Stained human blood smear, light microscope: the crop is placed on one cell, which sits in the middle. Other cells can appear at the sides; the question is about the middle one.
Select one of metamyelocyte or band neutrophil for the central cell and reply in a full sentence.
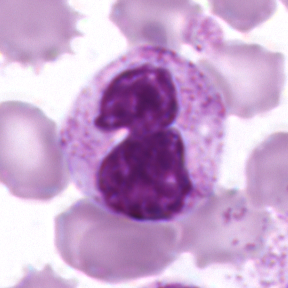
This particular crop is centered on a band neutrophil.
